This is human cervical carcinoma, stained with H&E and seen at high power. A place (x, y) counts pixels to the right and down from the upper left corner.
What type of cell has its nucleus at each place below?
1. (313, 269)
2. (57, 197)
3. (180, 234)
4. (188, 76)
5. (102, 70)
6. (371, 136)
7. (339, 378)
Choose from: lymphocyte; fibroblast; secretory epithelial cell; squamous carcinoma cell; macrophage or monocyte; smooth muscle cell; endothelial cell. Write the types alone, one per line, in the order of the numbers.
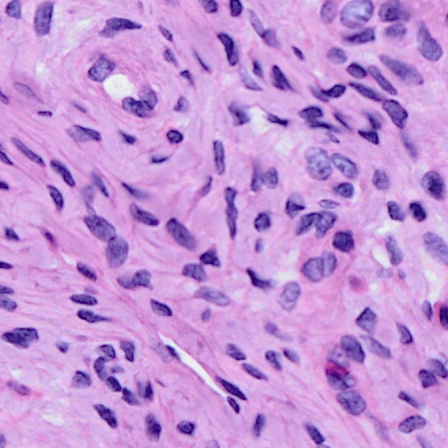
endothelial cell
fibroblast
fibroblast
fibroblast
endothelial cell
fibroblast
endothelial cell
